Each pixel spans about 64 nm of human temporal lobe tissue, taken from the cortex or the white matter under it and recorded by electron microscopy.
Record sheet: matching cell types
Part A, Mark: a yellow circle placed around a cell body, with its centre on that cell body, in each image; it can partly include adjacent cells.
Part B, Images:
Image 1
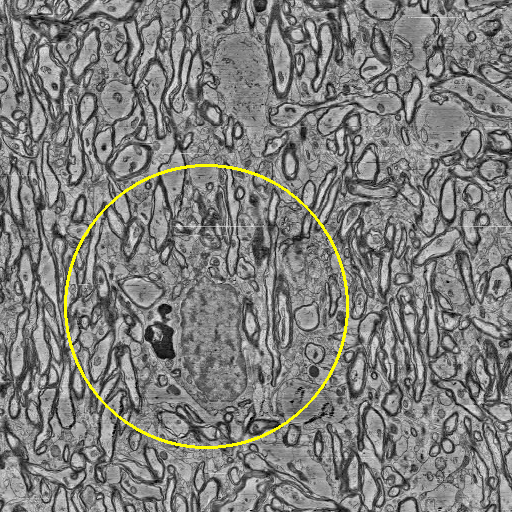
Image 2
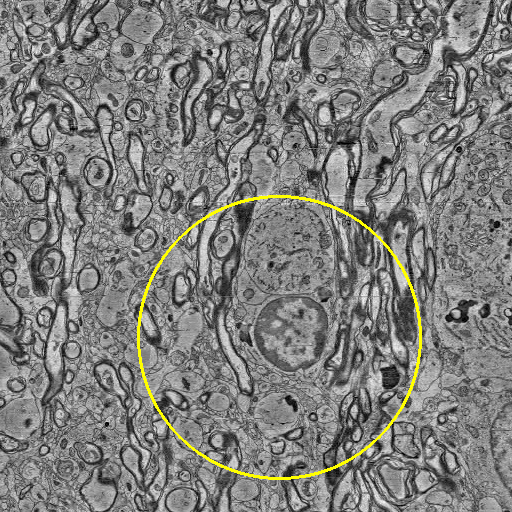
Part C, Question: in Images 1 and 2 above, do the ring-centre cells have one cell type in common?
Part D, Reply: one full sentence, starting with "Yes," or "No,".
No, the ring-centre cells of Image 1 and Image 2 are each of a separate cell type.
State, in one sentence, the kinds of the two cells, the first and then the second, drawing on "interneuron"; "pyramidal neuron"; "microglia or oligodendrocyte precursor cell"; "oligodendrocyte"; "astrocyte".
The ring in the second picture is centred on a microglial cell or oligodendrocyte precursor cell, the ring in the first on an oligodendrocyte.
